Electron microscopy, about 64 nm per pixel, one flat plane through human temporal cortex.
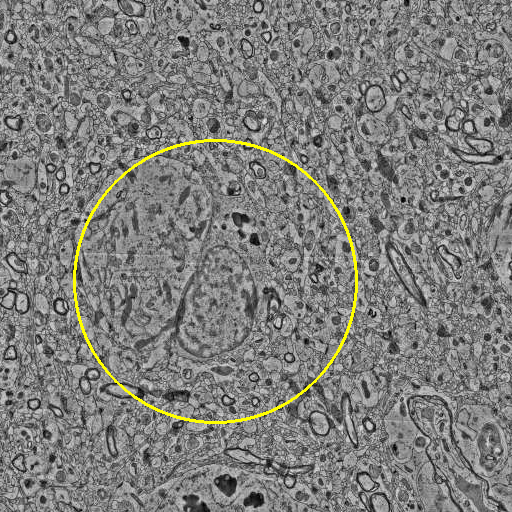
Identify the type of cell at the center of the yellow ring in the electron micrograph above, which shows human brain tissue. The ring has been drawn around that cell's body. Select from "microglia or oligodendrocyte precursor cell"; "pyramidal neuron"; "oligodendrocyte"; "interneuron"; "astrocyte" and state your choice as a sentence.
The yellow ring is centered on the body of an oligodendrocyte.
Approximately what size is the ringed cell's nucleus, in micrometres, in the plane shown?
About 7 by 5 micrometres in this plane; clearly longer than it is wide.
